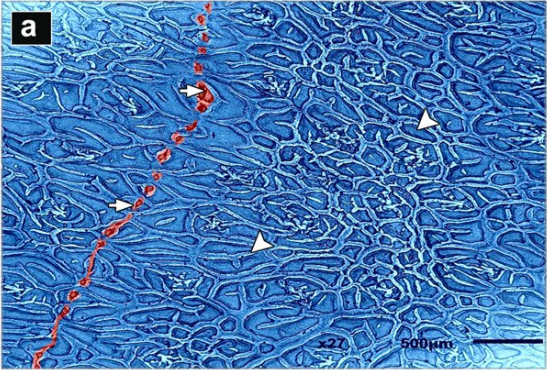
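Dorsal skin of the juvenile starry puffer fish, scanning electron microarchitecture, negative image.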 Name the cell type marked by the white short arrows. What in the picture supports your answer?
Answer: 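The arrows point to small bodies set in a single line across the surface. The bodies form a row distinct from the surrounding surface pattern.
Conclusion: superficial sensory cells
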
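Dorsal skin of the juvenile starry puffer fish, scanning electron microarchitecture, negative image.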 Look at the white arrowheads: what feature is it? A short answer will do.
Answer: Delicate irregular-shaped protrusions with depressed centers.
